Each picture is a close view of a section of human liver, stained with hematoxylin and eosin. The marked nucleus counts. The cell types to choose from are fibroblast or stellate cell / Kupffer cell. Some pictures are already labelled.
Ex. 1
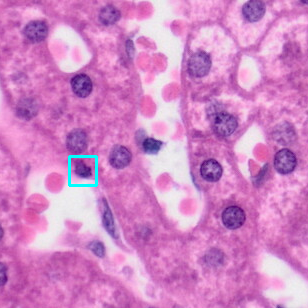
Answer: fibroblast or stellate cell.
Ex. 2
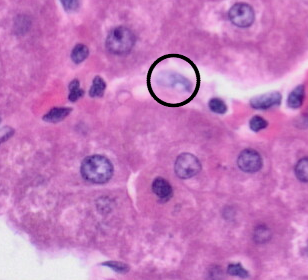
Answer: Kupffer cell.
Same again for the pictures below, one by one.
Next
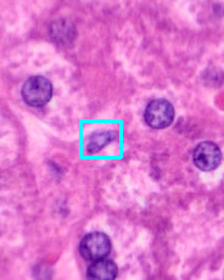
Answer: Kupffer cell.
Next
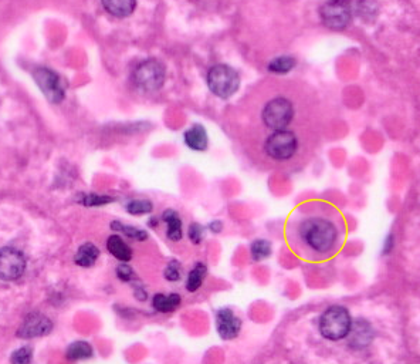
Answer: Kupffer cell.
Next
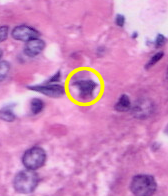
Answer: fibroblast or stellate cell.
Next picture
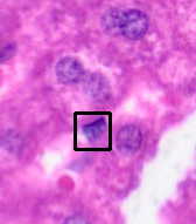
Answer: fibroblast or stellate cell.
